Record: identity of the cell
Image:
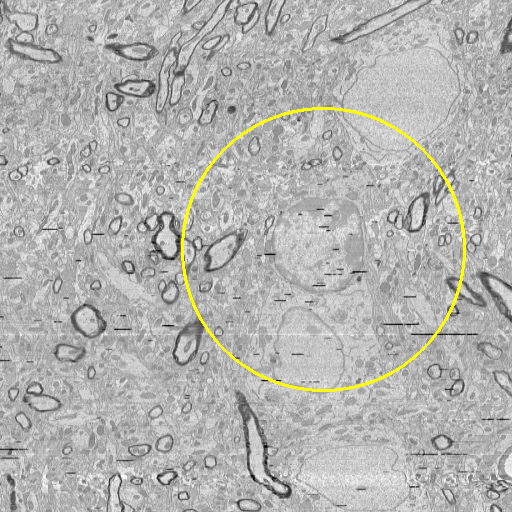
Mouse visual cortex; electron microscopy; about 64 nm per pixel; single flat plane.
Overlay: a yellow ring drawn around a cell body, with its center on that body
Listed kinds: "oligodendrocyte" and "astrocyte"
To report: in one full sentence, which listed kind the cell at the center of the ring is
In the image, the cell body at the ring's center belongs to an oligodendrocyte.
